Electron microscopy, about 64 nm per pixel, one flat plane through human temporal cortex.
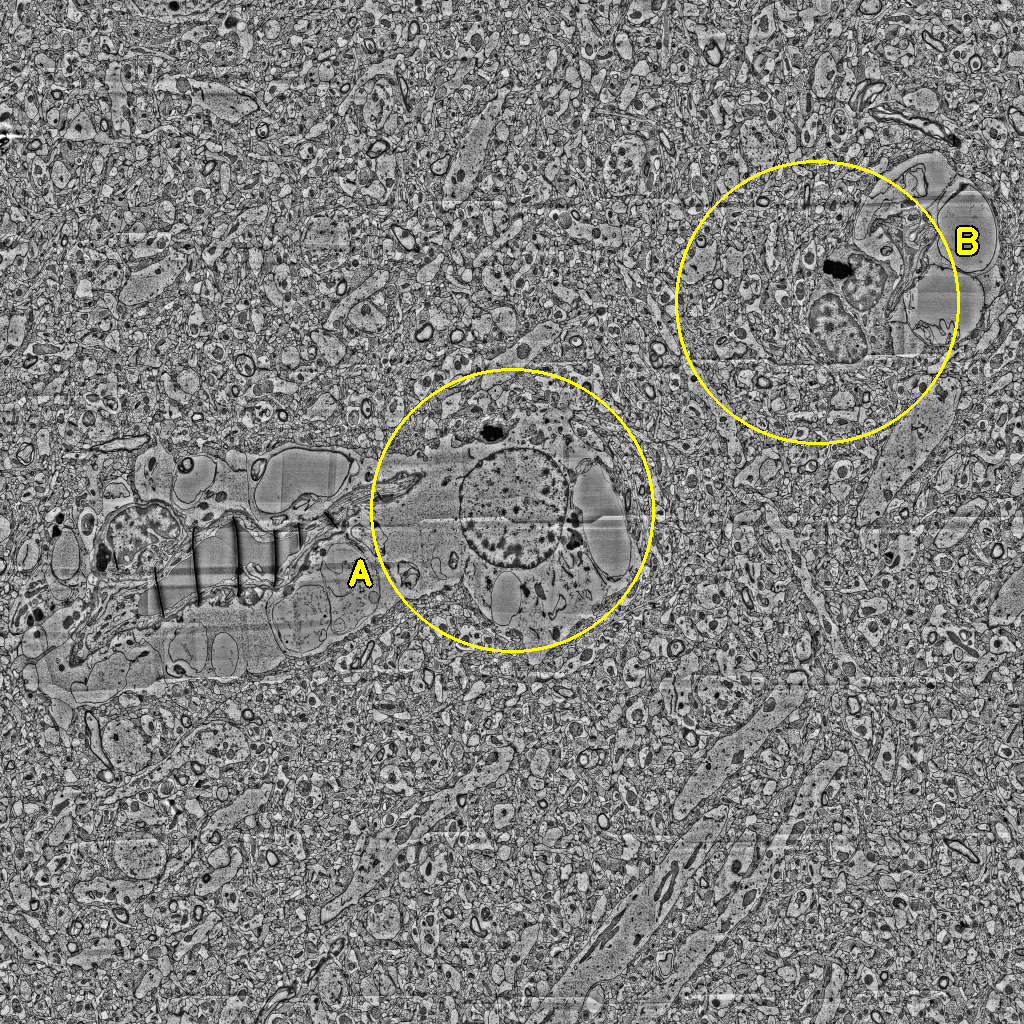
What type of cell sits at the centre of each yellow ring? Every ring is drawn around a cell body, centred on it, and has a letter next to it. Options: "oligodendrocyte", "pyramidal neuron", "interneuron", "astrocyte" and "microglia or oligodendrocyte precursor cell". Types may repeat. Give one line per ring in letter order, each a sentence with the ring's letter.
Ring A has an astrocyte at its centre.
Ring B has an oligodendrocyte at its centre.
